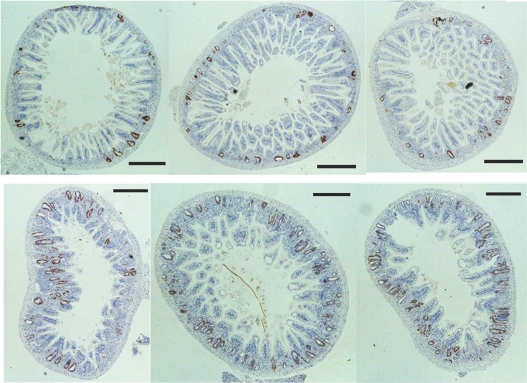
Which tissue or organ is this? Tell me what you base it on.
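Small intestine. Each section is a round tube with a central lumen. Finger-like villi project from the wall into the lumen all around. Crypts lie at the bases of the villi next to a thin outer muscle layer.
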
